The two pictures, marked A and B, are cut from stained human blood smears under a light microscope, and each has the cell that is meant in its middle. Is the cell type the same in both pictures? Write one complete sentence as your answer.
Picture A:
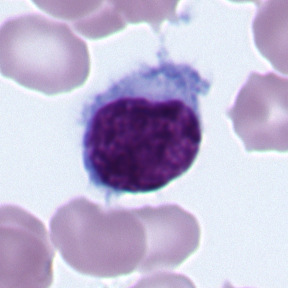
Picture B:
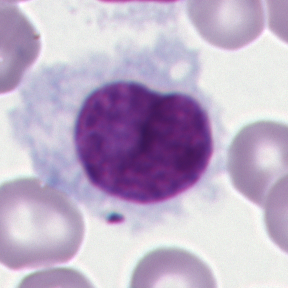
Yes, they are the same type: both are hairy cells.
